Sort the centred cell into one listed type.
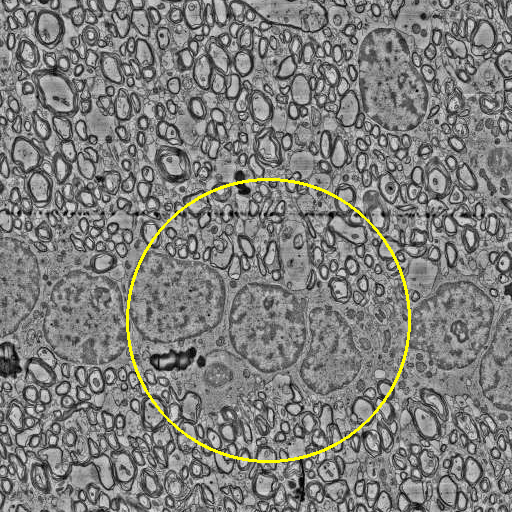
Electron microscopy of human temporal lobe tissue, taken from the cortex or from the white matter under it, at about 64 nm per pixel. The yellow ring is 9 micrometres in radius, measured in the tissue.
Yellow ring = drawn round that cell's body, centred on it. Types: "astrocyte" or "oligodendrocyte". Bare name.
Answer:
oligodendrocyte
